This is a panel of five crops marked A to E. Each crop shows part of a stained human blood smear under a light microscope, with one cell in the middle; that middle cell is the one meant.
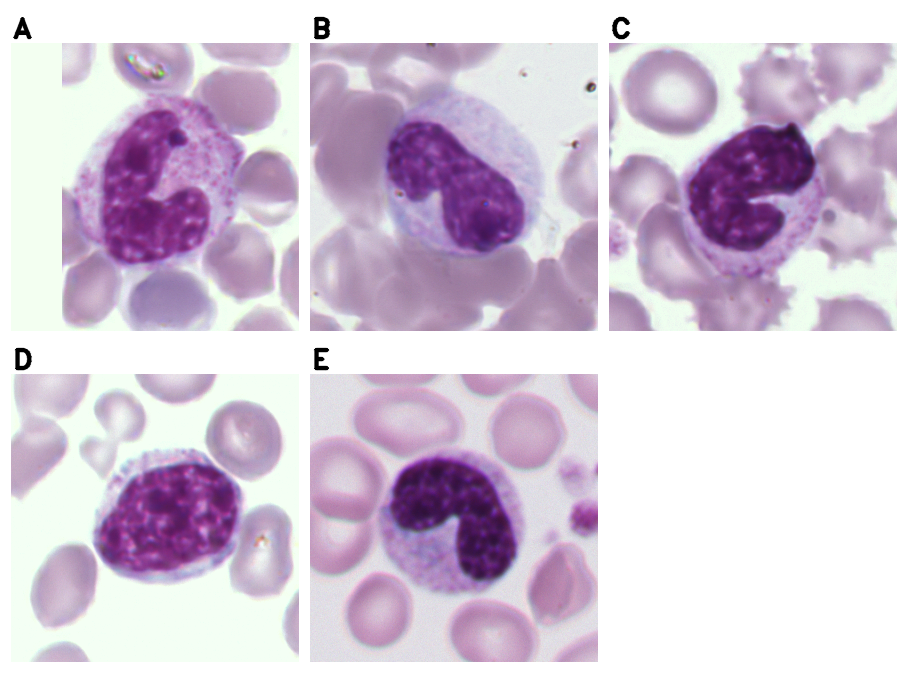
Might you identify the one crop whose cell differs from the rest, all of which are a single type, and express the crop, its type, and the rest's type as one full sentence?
Crop D is the one that is a metamyelocyte, and the other crops all show band neutrophils.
